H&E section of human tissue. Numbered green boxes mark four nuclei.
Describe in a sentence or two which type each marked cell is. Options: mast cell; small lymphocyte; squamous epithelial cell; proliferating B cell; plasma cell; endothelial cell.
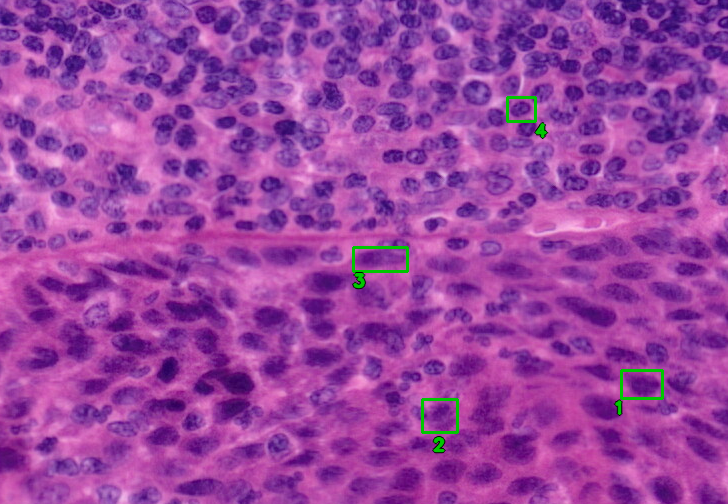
Cells 1, 2 and 3 are squamous epithelial cells. Cell 4 is a plasma cell.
